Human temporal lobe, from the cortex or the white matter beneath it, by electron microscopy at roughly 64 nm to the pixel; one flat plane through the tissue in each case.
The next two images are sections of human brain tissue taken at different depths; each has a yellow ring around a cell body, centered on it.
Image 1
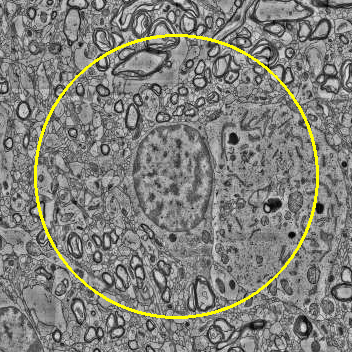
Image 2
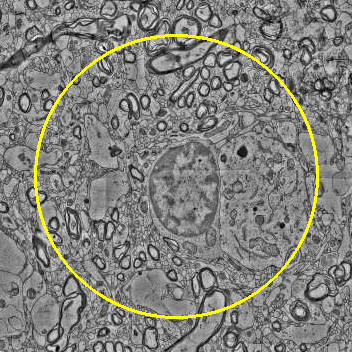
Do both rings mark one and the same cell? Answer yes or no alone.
yes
